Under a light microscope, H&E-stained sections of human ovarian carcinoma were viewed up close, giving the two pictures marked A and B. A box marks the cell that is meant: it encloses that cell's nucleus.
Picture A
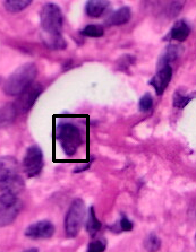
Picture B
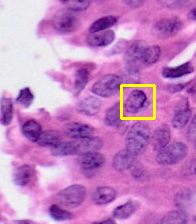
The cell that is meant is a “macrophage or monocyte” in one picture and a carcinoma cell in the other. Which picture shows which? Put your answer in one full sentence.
Picture B shows a “macrophage or monocyte”, while picture A shows a carcinoma cell.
